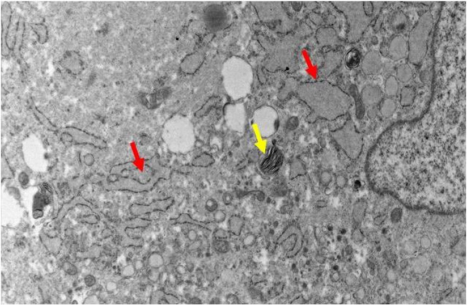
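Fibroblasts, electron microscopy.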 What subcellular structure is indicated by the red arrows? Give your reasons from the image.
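The red arrows point to long, dark-lined membrane cisternae. Some cisternae are widened with pale content. That points to this answer: dilated endoplasmic reticulum.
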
